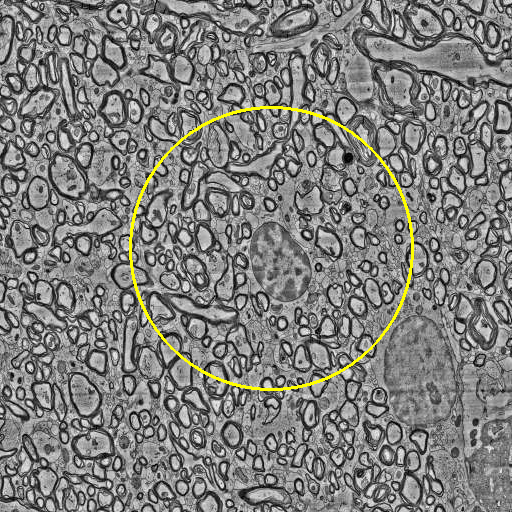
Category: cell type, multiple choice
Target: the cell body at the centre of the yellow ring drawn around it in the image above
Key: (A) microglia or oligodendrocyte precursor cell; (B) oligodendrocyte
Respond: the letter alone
A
